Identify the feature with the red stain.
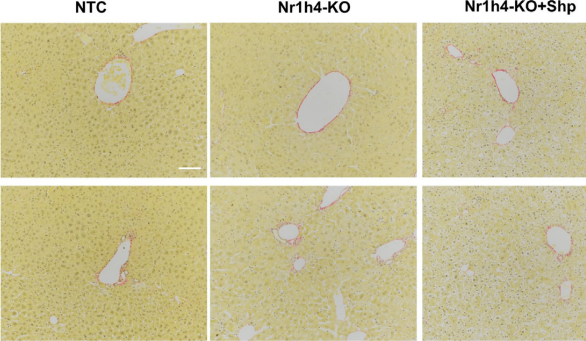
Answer: liver fibers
